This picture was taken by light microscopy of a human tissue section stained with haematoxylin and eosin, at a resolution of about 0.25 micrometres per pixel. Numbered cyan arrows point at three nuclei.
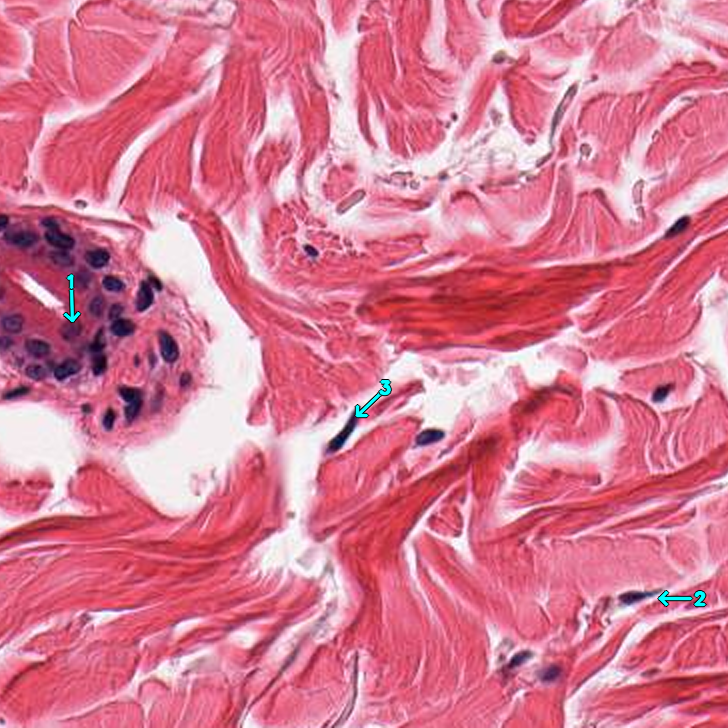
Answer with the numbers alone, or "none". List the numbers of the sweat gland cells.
1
